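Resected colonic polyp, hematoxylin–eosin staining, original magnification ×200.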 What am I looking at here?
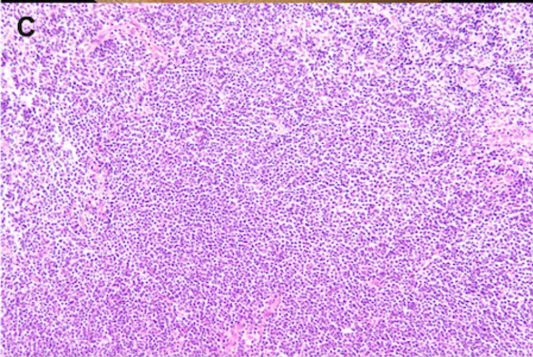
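The cells are packed tightly and fairly uniform, each with a small, round, densely dark purple nucleus and very little cytoplasm. Thin pink strands of stroma and small vessels run between the cell masses. The crowding is somewhat denser in the centre of the field, giving a vaguely nodular look. No glands or normal mucosal structures are seen in this field.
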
